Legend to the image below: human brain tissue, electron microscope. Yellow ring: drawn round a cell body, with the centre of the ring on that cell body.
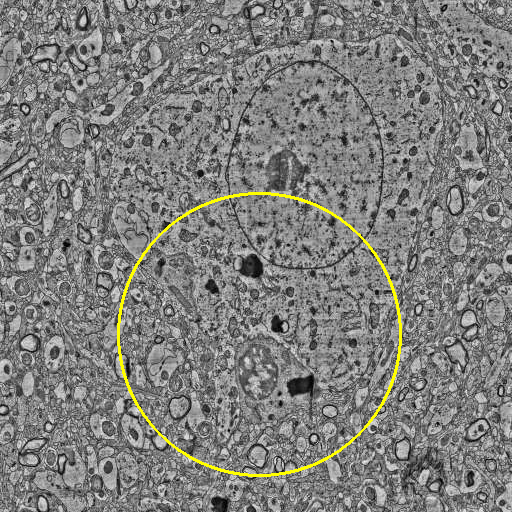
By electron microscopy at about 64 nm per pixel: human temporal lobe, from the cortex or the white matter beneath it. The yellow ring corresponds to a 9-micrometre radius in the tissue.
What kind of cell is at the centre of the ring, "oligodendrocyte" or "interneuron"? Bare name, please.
oligodendrocyte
